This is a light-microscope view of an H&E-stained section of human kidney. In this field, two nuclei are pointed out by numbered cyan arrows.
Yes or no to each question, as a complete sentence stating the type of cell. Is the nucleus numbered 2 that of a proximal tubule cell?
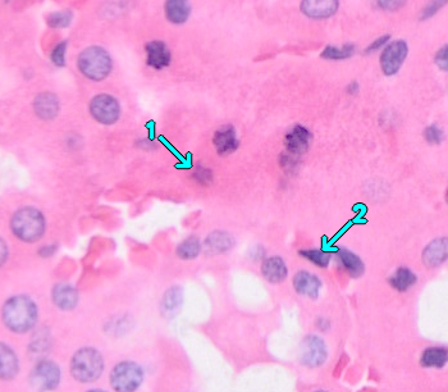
No, cell 2 is not a proximal tubule cell: it is an endothelial cell.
